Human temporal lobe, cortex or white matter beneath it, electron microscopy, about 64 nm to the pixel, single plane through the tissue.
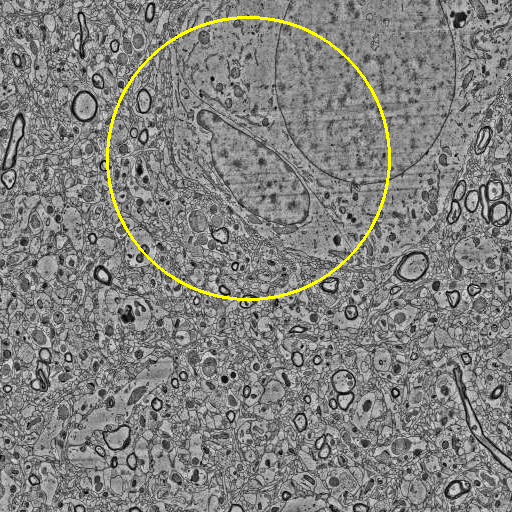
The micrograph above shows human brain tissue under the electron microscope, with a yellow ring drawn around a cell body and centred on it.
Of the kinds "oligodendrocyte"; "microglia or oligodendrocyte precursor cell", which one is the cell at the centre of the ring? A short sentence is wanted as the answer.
The one at the centre of the ring is a microglial cell or oligodendrocyte precursor cell.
